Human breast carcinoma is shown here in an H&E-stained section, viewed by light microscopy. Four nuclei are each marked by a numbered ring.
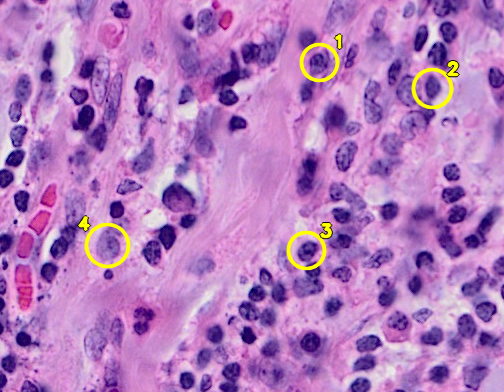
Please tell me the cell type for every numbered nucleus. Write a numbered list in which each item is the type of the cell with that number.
1. lymphocyte
2. lymphocyte
3. lymphocyte
4. macrophage, monocyte or dendritic cell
